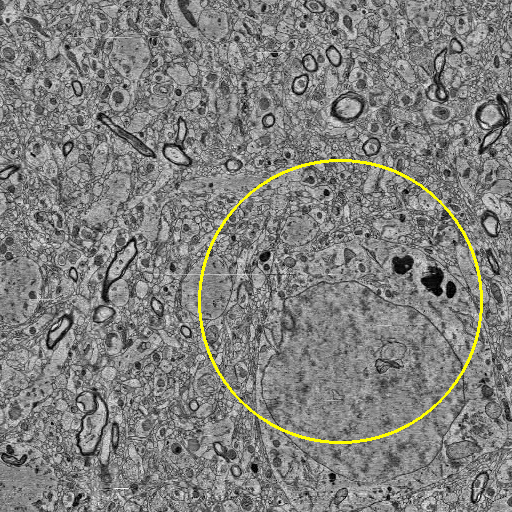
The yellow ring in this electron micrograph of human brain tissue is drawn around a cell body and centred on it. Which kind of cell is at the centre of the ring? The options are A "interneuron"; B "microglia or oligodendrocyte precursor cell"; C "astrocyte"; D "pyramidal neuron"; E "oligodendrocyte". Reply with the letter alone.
D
